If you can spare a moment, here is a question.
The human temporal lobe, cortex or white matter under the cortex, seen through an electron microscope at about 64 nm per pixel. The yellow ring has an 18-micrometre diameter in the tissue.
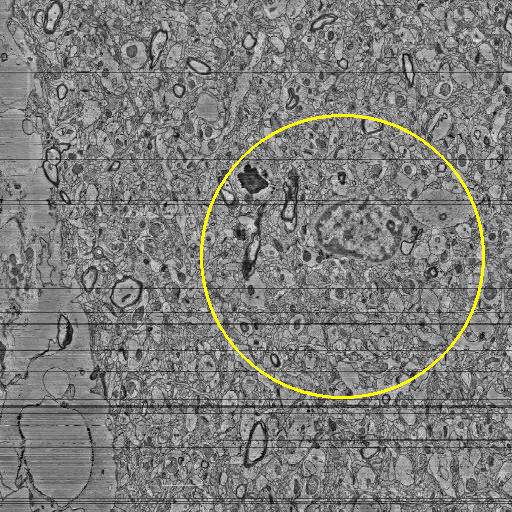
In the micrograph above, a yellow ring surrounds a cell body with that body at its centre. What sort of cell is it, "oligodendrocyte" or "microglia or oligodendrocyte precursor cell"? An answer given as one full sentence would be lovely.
Centred inside the yellow ring, the cell body shown belongs to an oligodendrocyte in this micrograph.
